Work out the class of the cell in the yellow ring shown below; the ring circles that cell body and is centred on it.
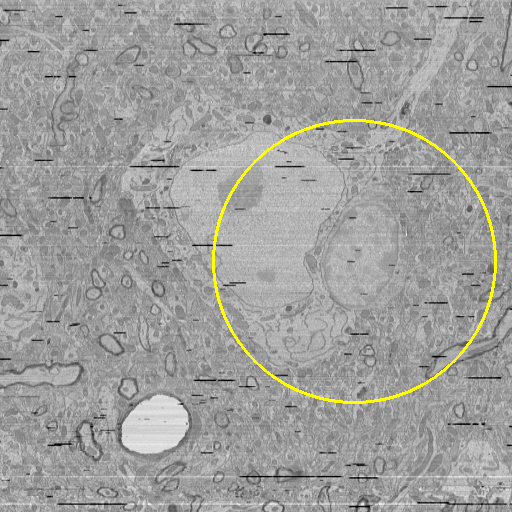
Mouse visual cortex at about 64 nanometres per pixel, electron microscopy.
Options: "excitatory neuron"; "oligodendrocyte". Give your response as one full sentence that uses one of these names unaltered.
The body ringed in yellow, right at the ring's centre, is that of an oligodendrocyte.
